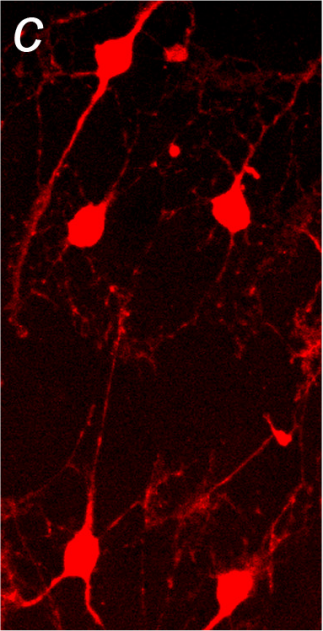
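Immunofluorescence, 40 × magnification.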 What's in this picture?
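These are cultured cells with a neuron-like morphology. From each cell body arise one or more thin processes, some thick at their origin and tapering, which branch and run long distances. The fine processes of neighbouring cells cross and intermingle, forming a loose network over the dark background. Some processes show small swellings or beaded stretches along their length. The label fills the cell bodies evenly and extends into the processes, outlining the whole cell shape.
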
